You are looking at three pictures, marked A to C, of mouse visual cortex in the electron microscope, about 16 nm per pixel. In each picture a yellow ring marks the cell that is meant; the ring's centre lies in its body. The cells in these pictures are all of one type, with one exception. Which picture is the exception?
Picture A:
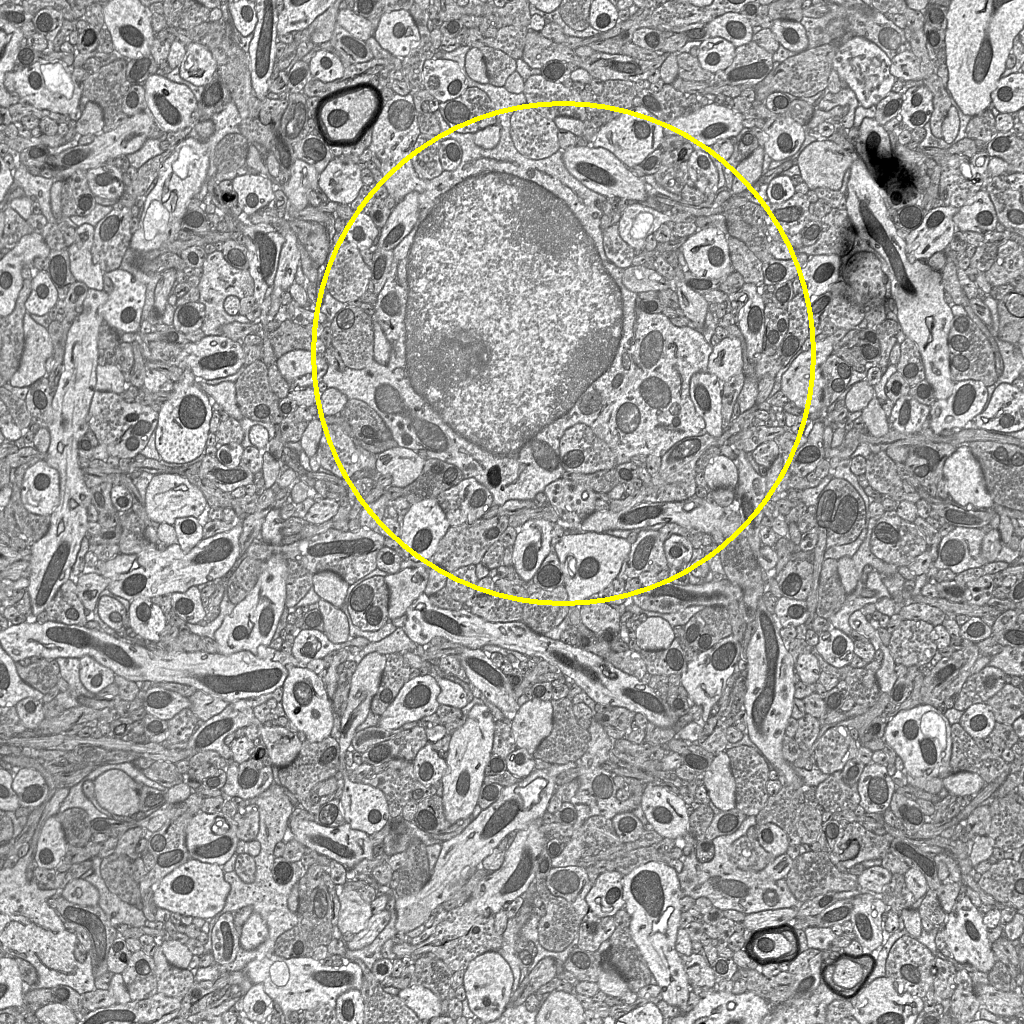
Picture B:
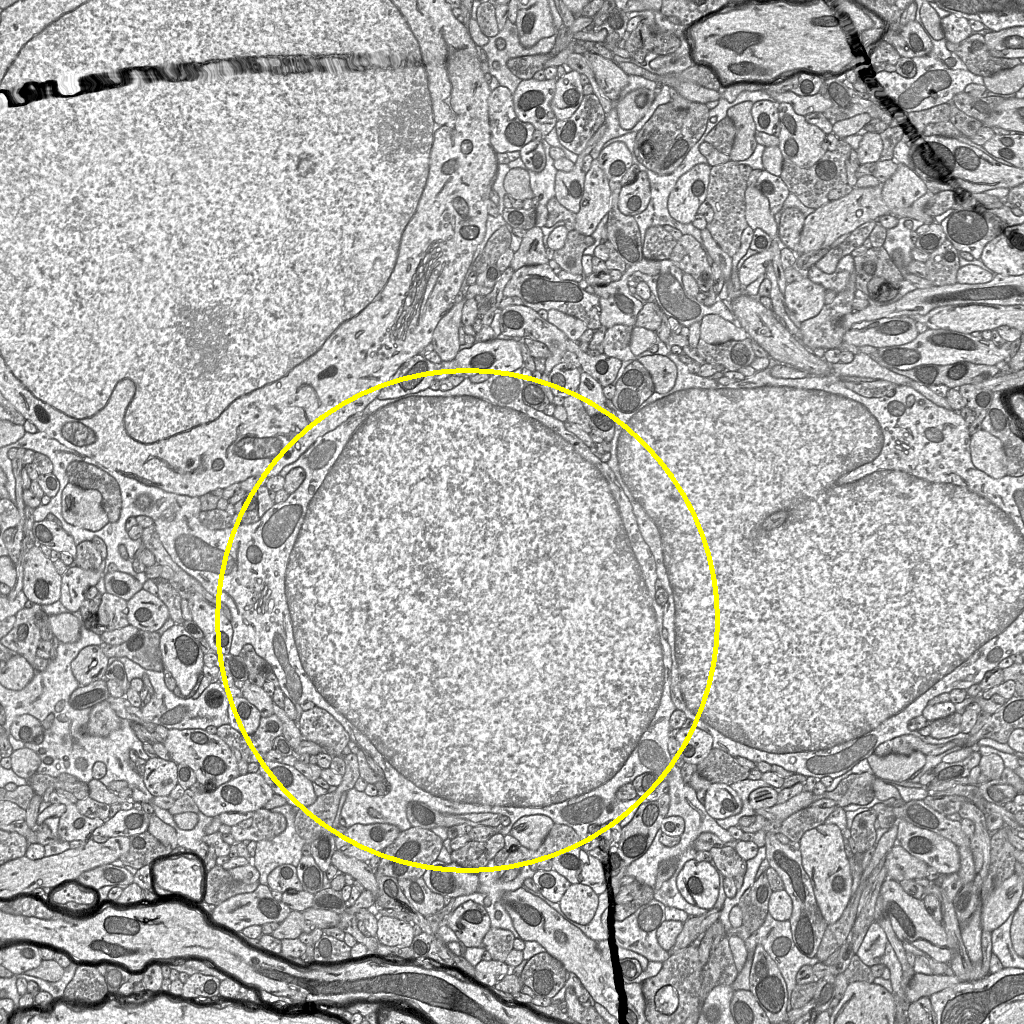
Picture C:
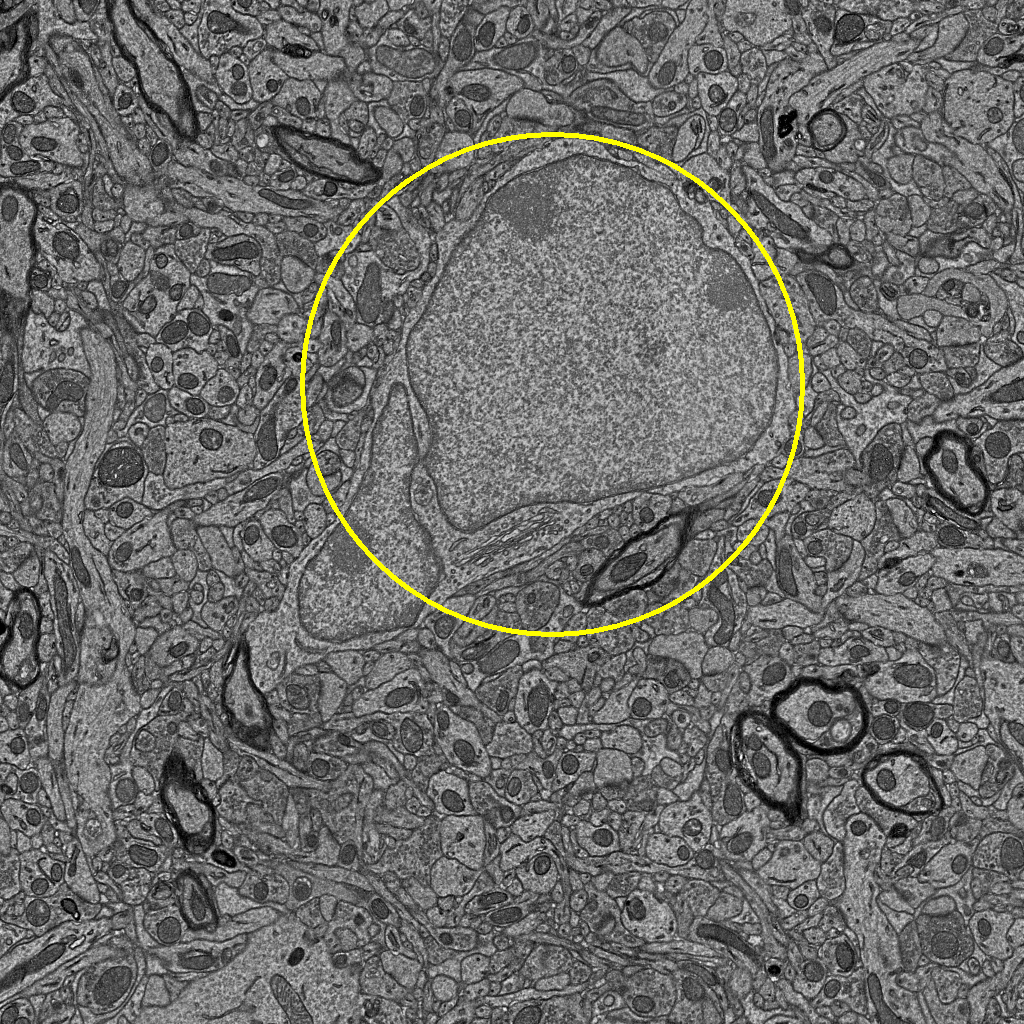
Picture C differs, because its cell is an oligodendrocyte precursor cell and the rest are astrocytes.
